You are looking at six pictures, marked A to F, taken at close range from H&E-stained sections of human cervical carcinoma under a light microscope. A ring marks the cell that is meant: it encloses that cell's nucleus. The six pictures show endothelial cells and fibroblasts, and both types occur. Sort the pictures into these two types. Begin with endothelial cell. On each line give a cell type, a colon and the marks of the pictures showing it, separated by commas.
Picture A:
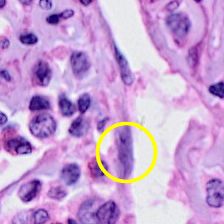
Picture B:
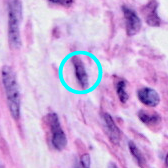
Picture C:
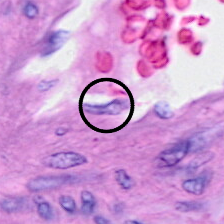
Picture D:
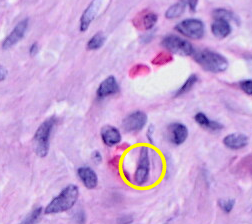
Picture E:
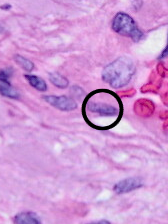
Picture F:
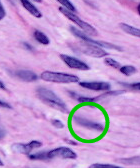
endothelial cell: A, C, D, E
fibroblast: B, F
